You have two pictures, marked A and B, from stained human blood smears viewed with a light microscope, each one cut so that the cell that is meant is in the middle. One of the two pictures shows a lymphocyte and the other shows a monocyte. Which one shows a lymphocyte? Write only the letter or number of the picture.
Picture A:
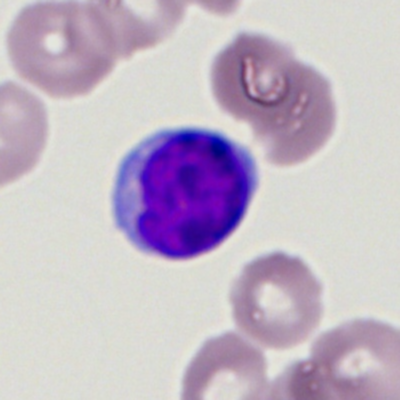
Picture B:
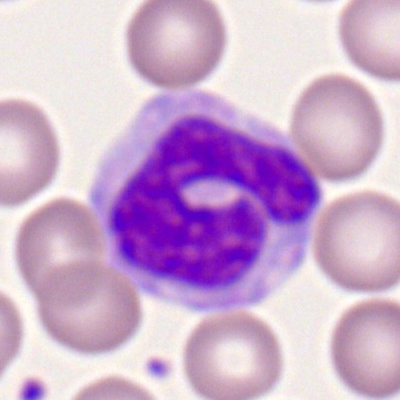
A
